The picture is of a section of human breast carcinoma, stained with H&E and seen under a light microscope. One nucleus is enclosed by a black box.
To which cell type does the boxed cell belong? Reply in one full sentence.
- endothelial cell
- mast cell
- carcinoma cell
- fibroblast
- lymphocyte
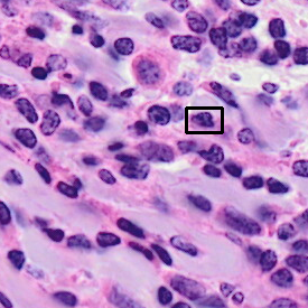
It is as a lymphocyte that the boxed cell is recorded.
